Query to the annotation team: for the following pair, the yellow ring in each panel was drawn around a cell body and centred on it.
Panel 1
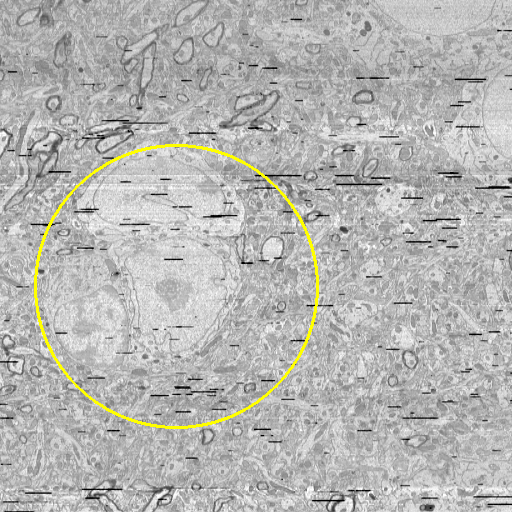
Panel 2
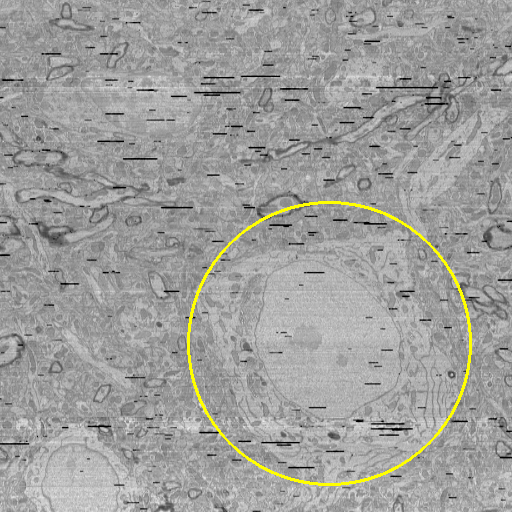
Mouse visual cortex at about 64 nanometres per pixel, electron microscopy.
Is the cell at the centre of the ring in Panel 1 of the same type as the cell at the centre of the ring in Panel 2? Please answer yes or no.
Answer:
no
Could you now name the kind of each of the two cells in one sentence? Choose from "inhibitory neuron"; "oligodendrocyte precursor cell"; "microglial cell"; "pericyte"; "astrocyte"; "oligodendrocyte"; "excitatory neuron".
The first ring encloses an inhibitory neuron; the second ring encloses an excitatory neuron.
